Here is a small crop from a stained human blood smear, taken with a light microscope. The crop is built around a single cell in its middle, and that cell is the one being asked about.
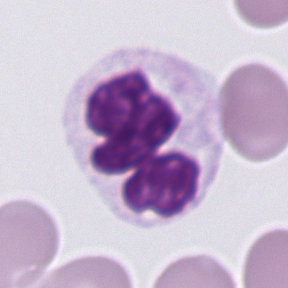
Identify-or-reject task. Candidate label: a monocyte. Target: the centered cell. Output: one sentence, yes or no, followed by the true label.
No, the middle of the crop holds a segmented neutrophil, not a monocyte.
